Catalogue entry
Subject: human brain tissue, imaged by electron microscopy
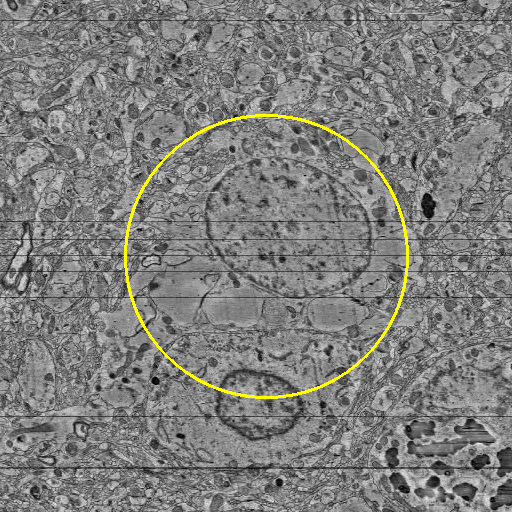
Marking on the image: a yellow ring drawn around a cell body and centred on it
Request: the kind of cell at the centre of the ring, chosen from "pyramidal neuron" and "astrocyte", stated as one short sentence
The ring has an astrocyte at its centre.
